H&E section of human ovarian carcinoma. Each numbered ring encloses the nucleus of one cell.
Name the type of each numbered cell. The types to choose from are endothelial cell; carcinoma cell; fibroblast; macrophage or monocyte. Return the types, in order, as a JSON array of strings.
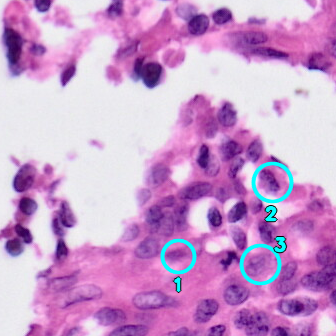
["carcinoma cell", "macrophage or monocyte", "carcinoma cell"]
